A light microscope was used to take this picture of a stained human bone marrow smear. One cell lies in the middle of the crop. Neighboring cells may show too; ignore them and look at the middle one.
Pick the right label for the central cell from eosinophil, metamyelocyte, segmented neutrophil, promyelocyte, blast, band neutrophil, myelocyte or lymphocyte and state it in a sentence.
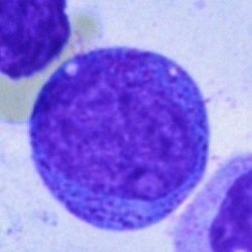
Located at the centre of the crop is a promyelocyte.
